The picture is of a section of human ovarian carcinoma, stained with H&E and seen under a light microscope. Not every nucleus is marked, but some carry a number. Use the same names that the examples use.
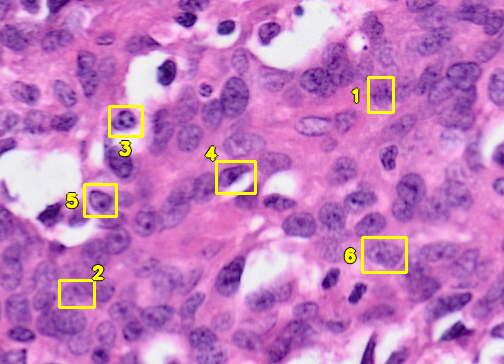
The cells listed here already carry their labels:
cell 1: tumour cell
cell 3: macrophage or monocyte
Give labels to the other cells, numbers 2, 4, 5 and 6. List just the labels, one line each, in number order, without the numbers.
tumour cell
tumour cell
macrophage or monocyte
tumour cell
